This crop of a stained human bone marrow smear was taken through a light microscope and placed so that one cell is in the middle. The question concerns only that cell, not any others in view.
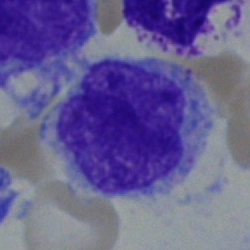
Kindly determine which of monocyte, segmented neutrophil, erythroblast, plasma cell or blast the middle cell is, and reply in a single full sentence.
The cell shown in the center of this light-microscope crop is a monocyte.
